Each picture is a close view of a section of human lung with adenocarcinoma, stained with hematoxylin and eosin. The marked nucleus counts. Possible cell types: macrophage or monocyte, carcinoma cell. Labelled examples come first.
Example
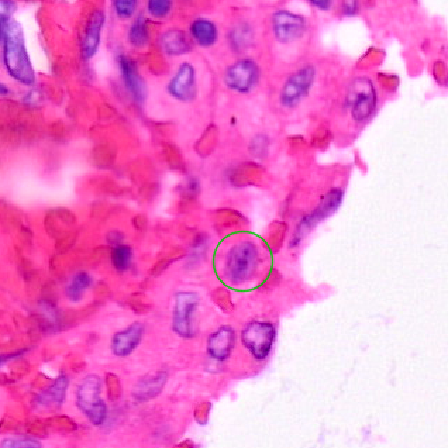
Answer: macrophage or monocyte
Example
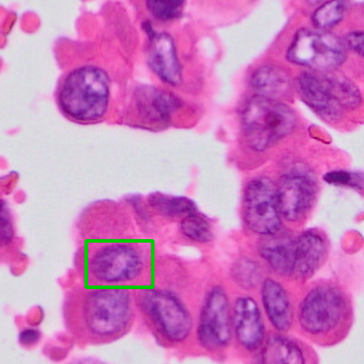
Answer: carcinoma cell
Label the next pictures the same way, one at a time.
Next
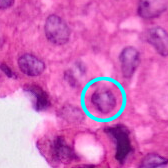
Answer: macrophage or monocyte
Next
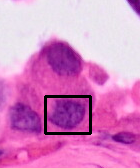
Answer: carcinoma cell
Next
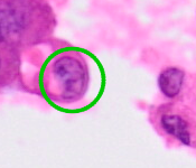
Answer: carcinoma cell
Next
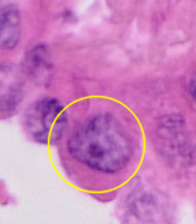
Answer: carcinoma cell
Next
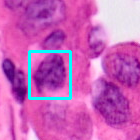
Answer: carcinoma cell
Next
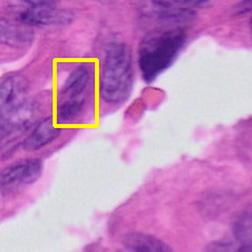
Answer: carcinoma cell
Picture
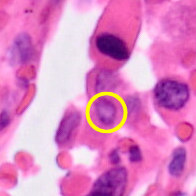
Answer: macrophage or monocyte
